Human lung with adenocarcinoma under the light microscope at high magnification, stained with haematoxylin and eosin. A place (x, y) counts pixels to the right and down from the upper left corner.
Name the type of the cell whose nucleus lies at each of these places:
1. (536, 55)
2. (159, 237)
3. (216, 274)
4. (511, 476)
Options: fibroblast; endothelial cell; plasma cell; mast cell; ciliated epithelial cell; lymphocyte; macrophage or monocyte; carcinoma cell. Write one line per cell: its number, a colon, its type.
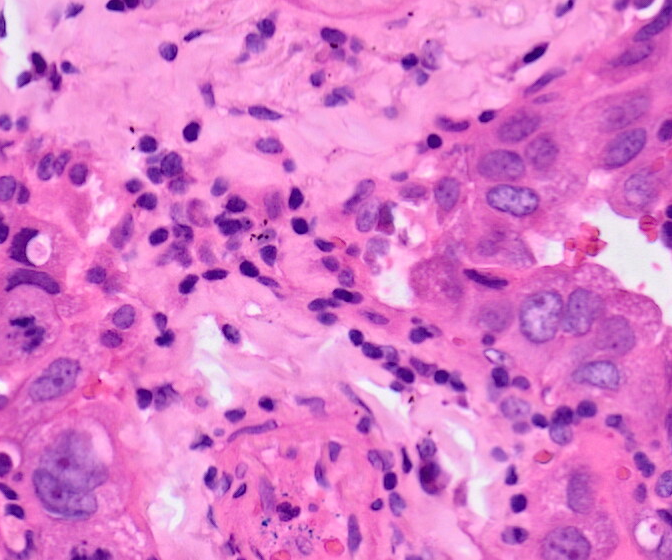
1: plasma cell
2: lymphocyte
3: lymphocyte
4: lymphocyte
